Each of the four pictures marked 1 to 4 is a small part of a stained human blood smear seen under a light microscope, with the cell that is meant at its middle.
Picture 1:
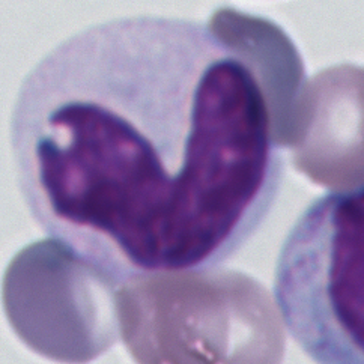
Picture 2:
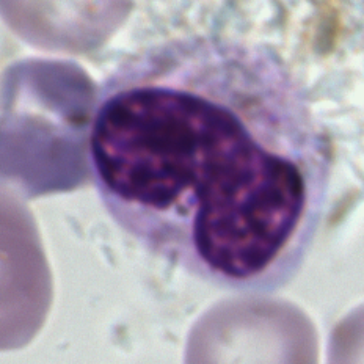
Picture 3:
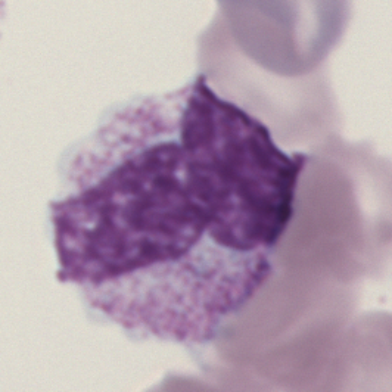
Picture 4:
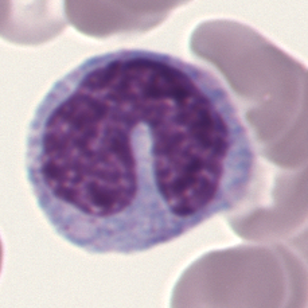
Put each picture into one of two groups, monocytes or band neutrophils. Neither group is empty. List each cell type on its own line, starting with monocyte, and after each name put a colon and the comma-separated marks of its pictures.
monocyte: 4
band neutrophil: 1, 2, 3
